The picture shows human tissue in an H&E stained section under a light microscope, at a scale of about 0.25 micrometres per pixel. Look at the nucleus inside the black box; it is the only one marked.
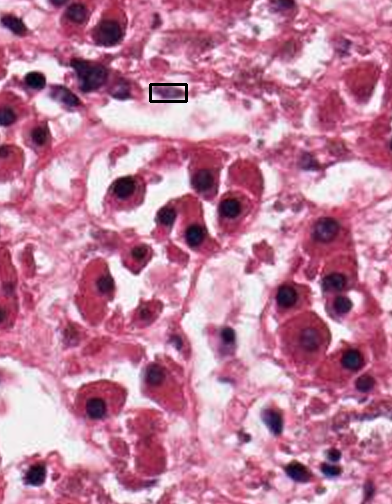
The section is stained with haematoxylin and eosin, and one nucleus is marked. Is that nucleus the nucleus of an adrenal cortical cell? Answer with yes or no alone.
no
